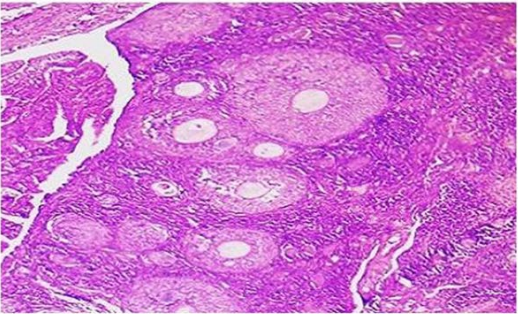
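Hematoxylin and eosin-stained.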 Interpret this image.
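This is ovarian cortex with many follicles set in a dense, purple-staining stroma of spindle-shaped cells. The follicles vary in size, from small ones with a single oocyte and a thin rim of cells to larger ones with several layers of small, closely packed granulosa cells. The granulosa layers stain a lighter pink-purple than the surrounding stroma, making each follicle stand out as a rounded island. The arrangement of many follicles at different growth stages is typical of a healthy ovary.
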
